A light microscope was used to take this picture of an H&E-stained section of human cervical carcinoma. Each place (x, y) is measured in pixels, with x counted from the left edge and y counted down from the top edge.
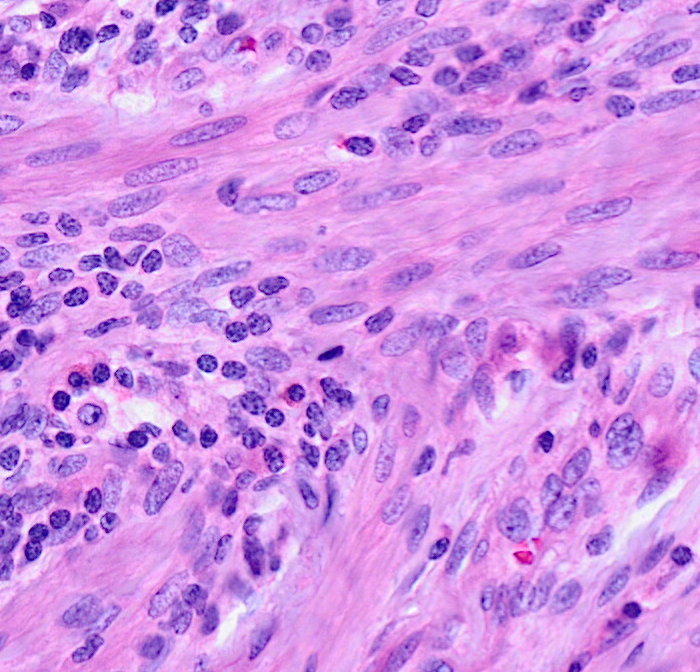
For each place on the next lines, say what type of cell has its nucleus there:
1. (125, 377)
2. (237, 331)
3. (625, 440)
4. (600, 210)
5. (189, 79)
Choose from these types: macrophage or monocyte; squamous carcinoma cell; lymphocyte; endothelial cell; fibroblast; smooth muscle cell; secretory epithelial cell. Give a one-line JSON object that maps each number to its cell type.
{"1": "lymphocyte", "2": "lymphocyte", "3": "endothelial cell", "4": "smooth muscle cell", "5": "endothelial cell"}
